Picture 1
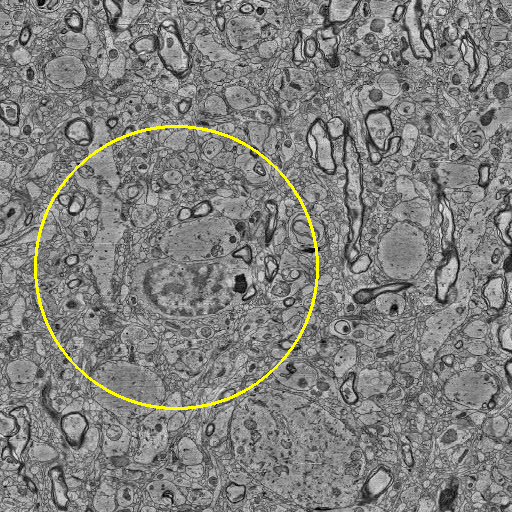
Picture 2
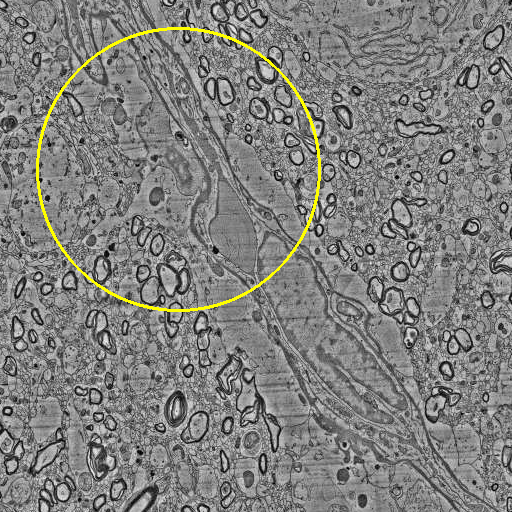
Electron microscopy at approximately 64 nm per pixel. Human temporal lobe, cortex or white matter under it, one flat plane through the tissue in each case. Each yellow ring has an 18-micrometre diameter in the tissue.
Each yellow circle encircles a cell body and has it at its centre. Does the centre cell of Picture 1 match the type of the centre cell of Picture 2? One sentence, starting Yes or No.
Yes, the cell centred in Picture 1 and the one in Picture 2 share a type.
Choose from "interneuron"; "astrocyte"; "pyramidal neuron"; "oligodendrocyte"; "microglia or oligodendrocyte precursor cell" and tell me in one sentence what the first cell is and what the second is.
The ring centre holds an oligodendrocyte in each of the two pictures.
